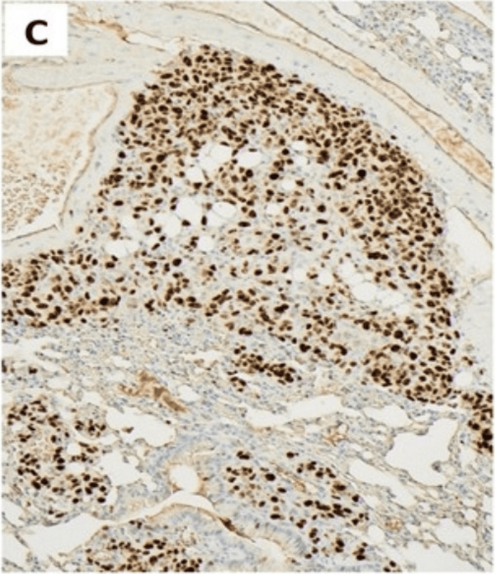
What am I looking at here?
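A large aggregate of tumor cells lies beside a blood vessel in the lung, with most of its nuclei stained dark brown. Smaller brown-stained clusters extend into the nearby tissue, while the surrounding alveolar walls and airways have pale blue nuclei.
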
